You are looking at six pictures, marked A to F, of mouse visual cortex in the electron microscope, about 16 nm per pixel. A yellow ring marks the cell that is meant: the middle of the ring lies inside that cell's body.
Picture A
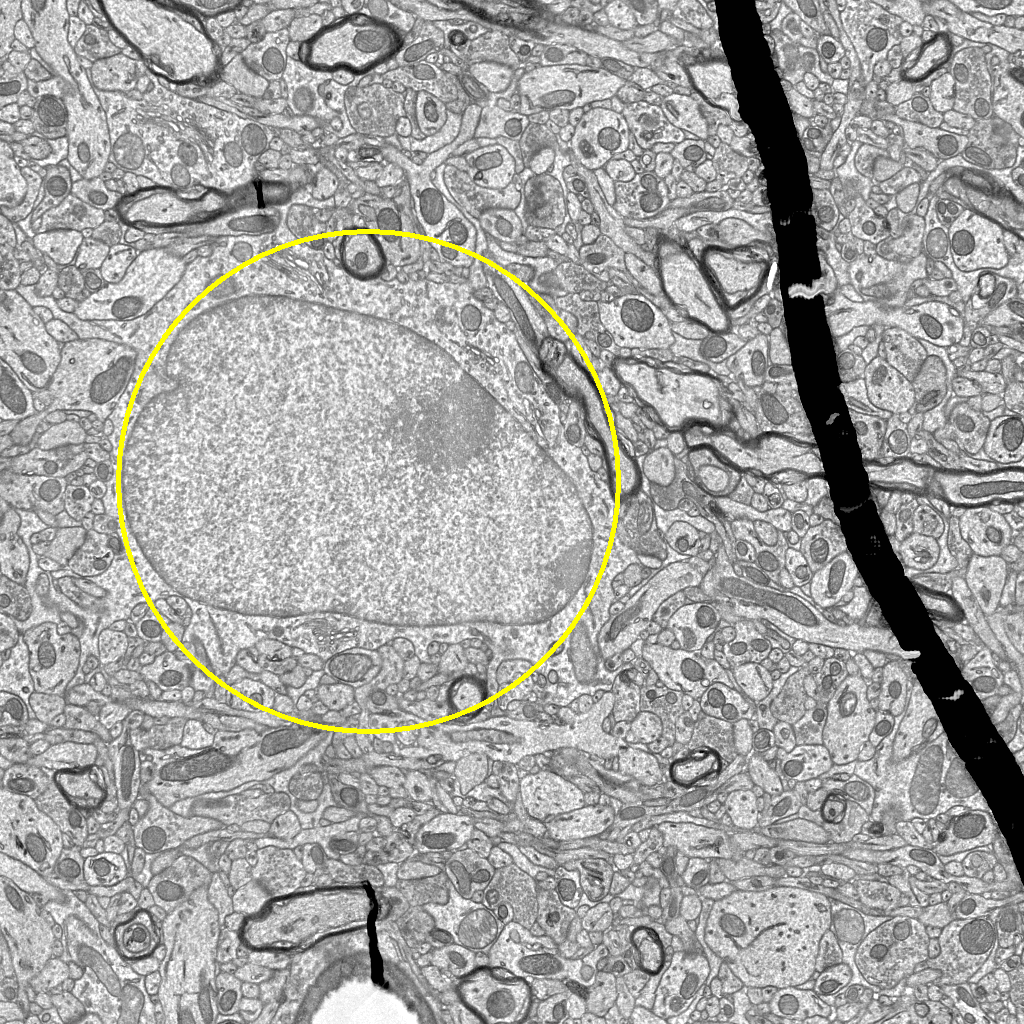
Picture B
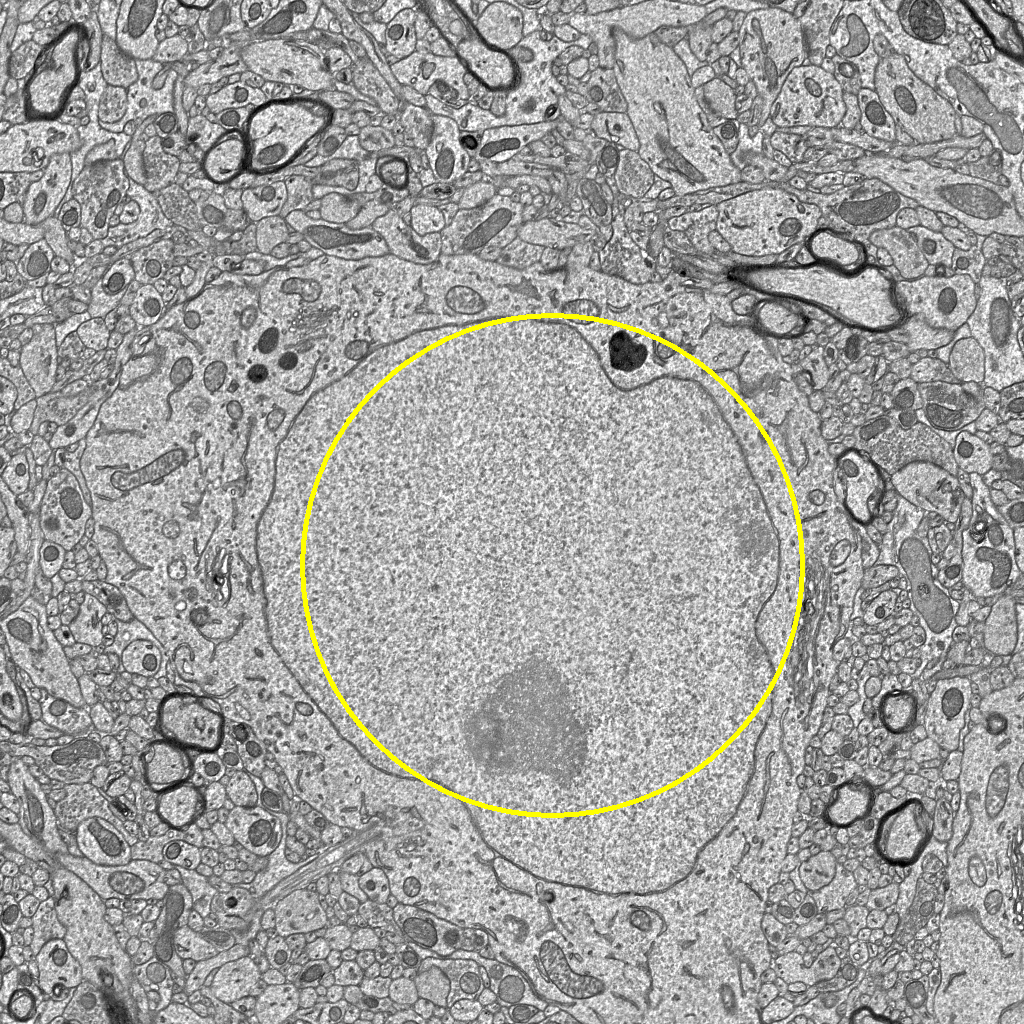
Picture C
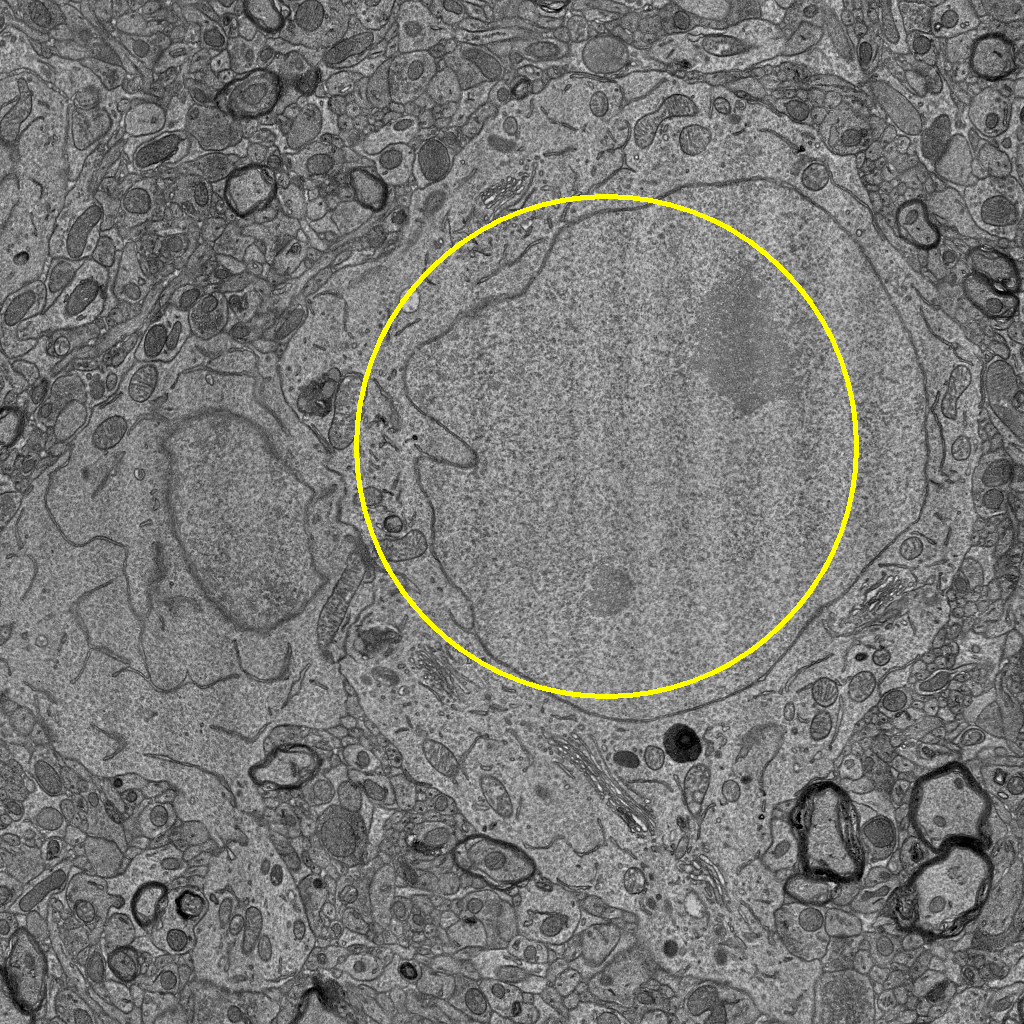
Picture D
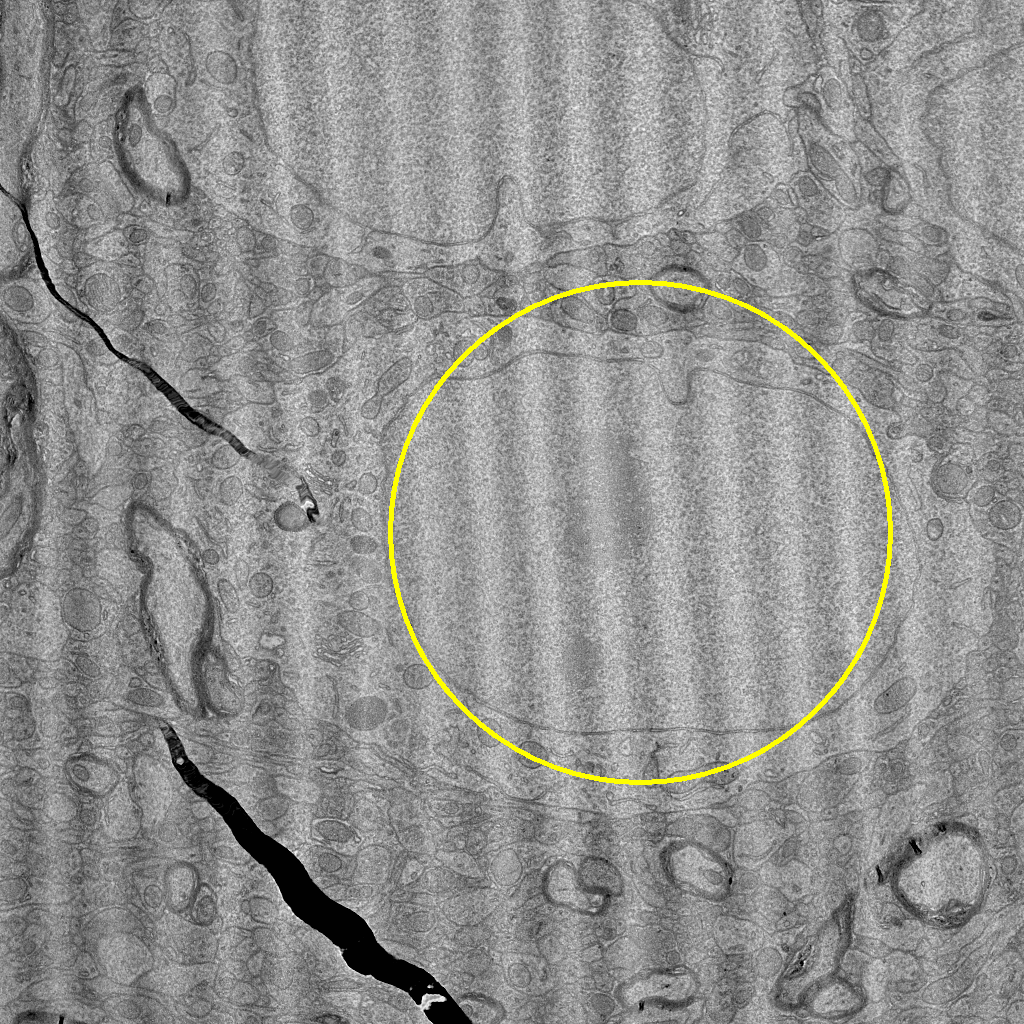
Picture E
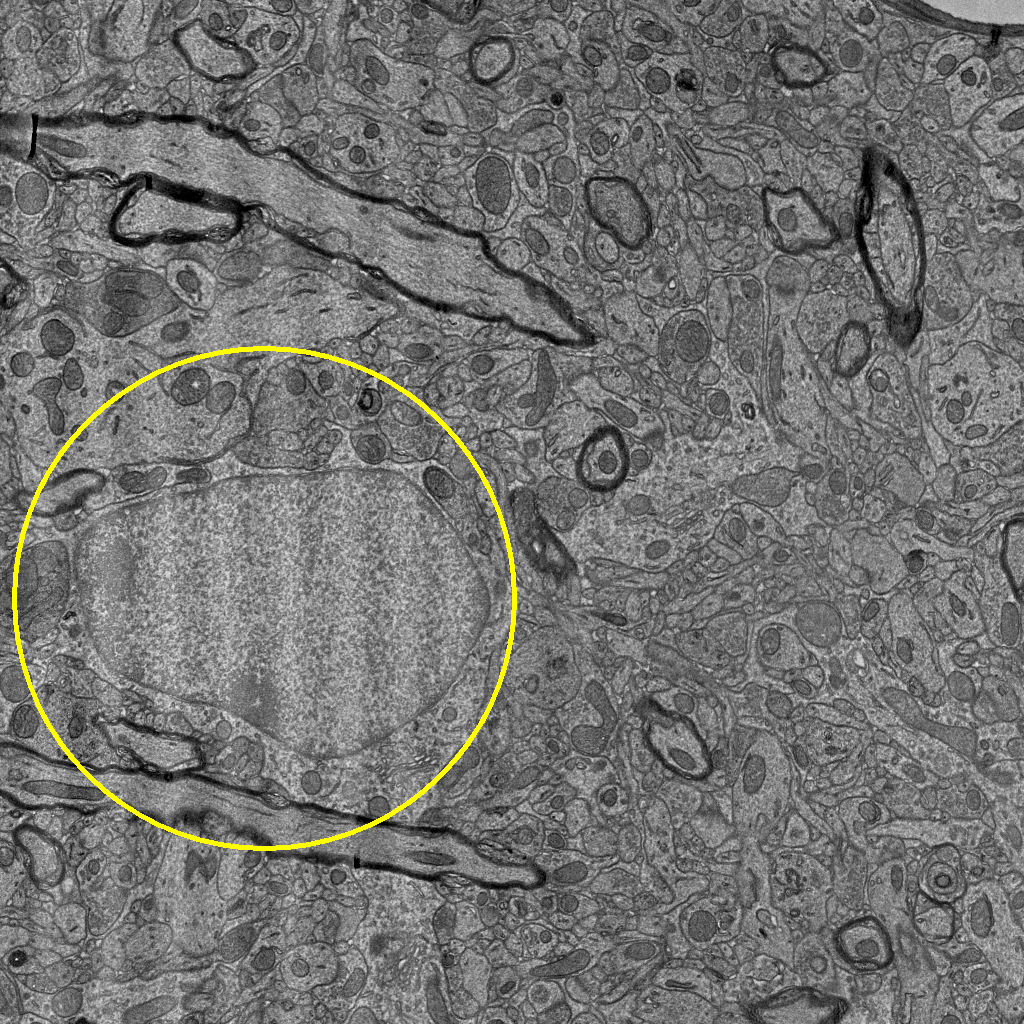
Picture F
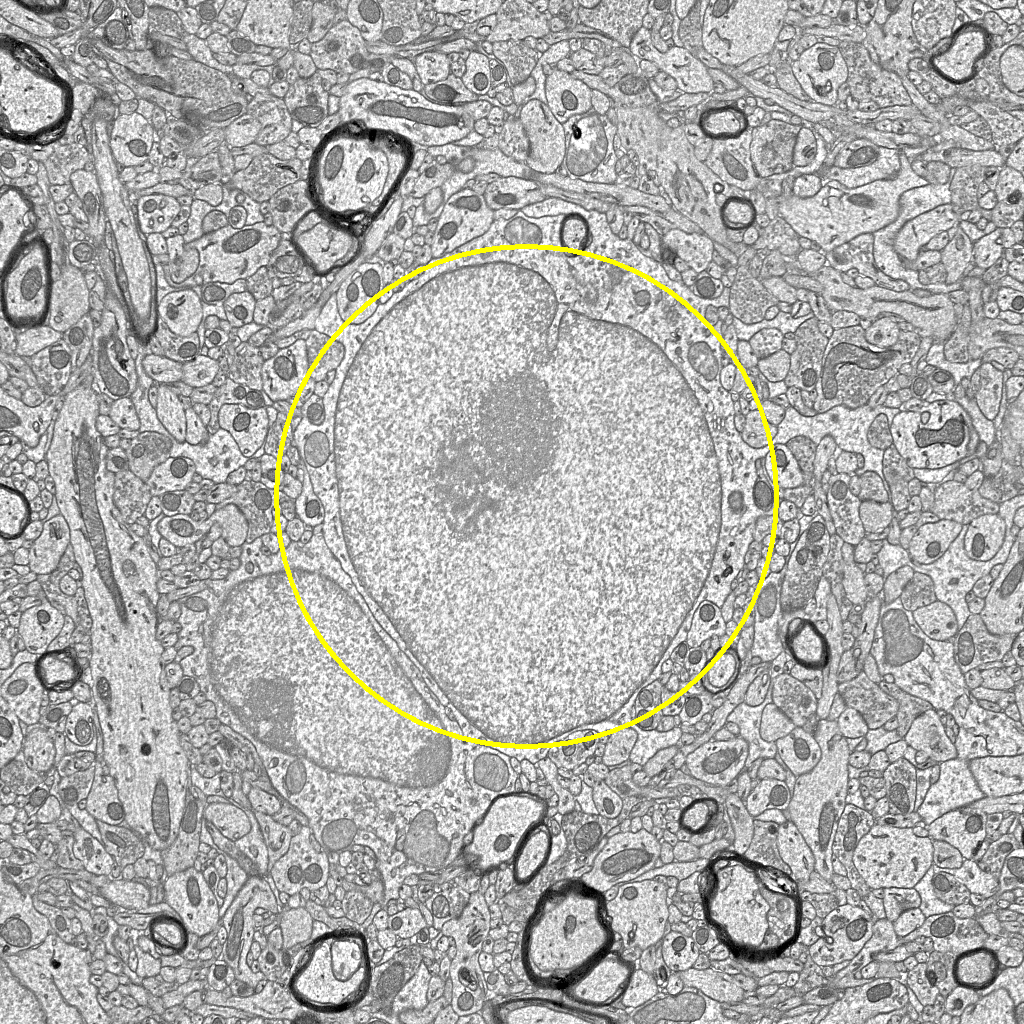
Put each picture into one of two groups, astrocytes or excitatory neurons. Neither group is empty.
Pictures A, E and F show astrocytes; pictures B, C and D show excitatory neurons.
